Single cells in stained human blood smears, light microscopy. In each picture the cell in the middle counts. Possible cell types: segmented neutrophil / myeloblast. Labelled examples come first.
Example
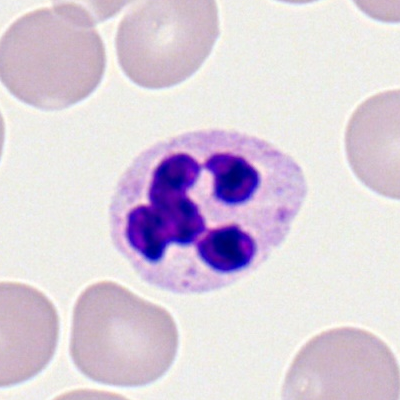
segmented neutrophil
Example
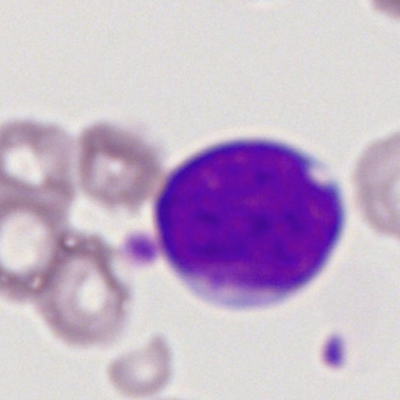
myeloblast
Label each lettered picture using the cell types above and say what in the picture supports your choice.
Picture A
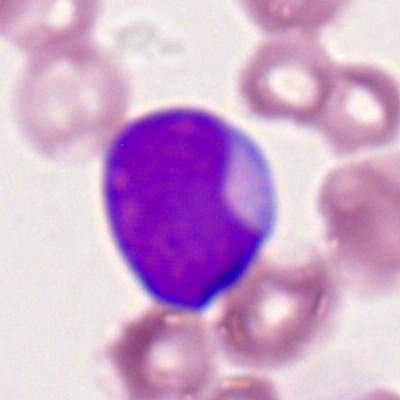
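Answer: myeloblast. The nucleus fills most of the cell.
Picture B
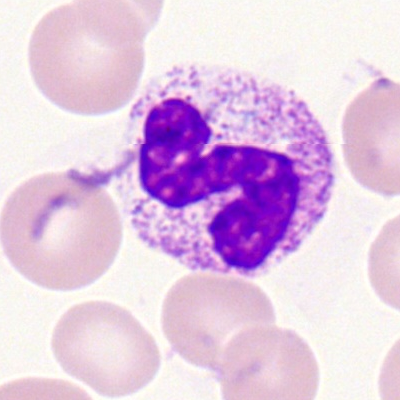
Answer: segmented neutrophil. The nucleus has two lobes joined by a broad band.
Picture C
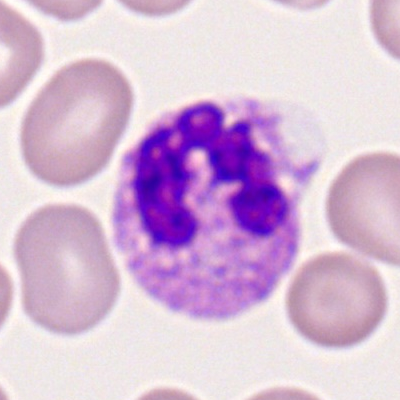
Answer: segmented neutrophil. The cytoplasm is abundant and pale pinkish-lilac.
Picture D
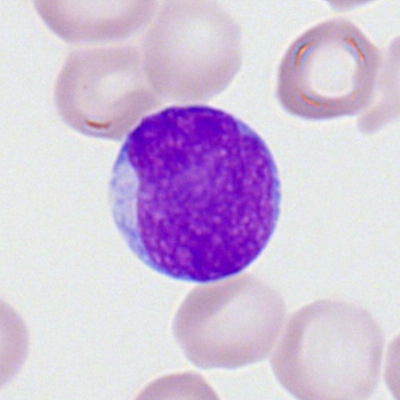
Answer: myeloblast. The cytoplasm is a scant rim that is widest on the left side.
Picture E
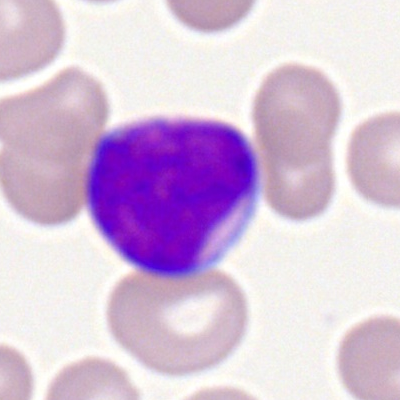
Answer: myeloblast. Only a thin crescent of pale bluish cytoplasm shows, at the lower right edge of the cell.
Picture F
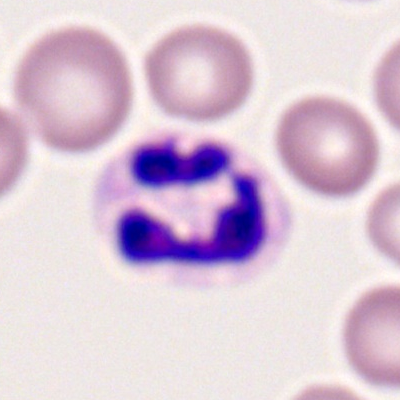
Answer: segmented neutrophil. The cytoplasm is pale pink.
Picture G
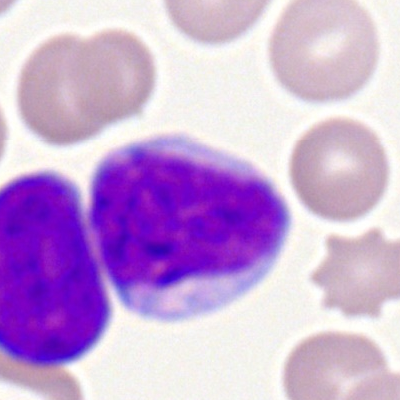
Answer: myeloblast. The nucleus fills most of the cell.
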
